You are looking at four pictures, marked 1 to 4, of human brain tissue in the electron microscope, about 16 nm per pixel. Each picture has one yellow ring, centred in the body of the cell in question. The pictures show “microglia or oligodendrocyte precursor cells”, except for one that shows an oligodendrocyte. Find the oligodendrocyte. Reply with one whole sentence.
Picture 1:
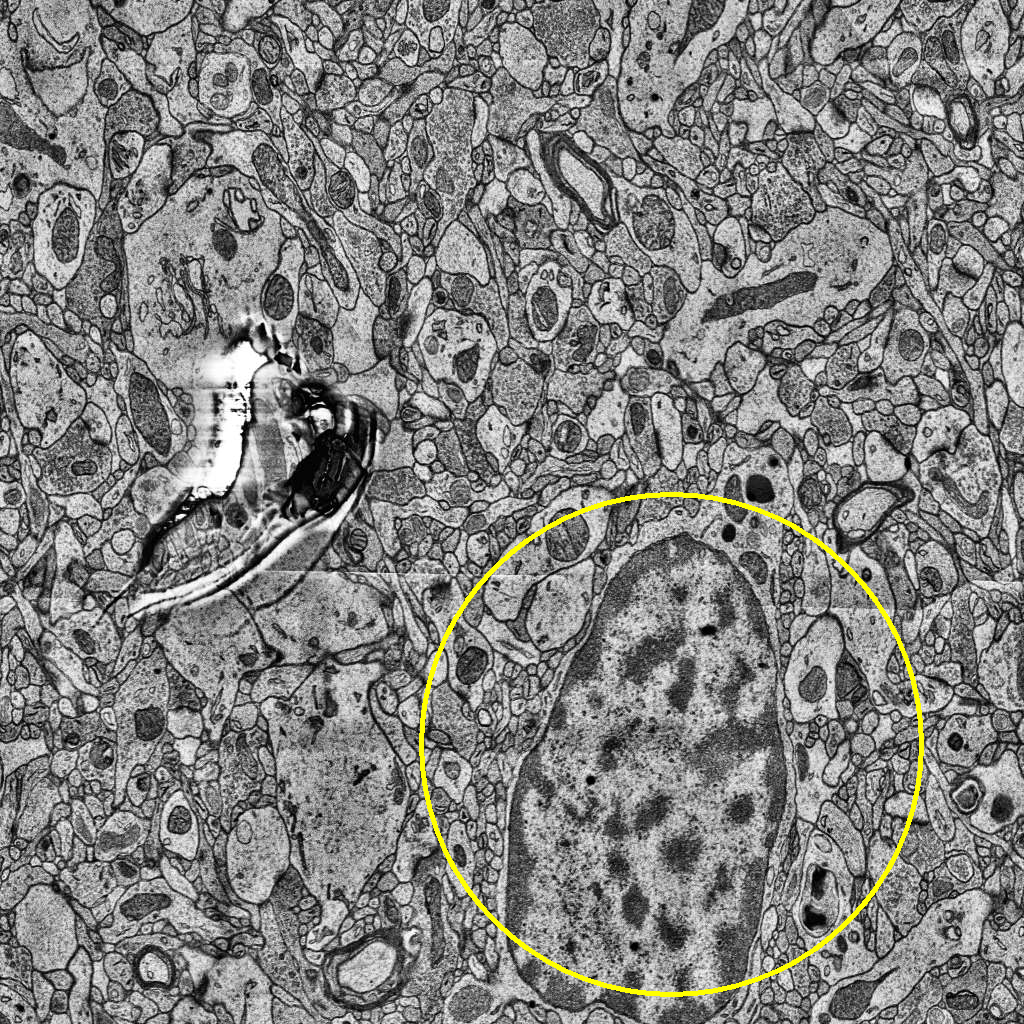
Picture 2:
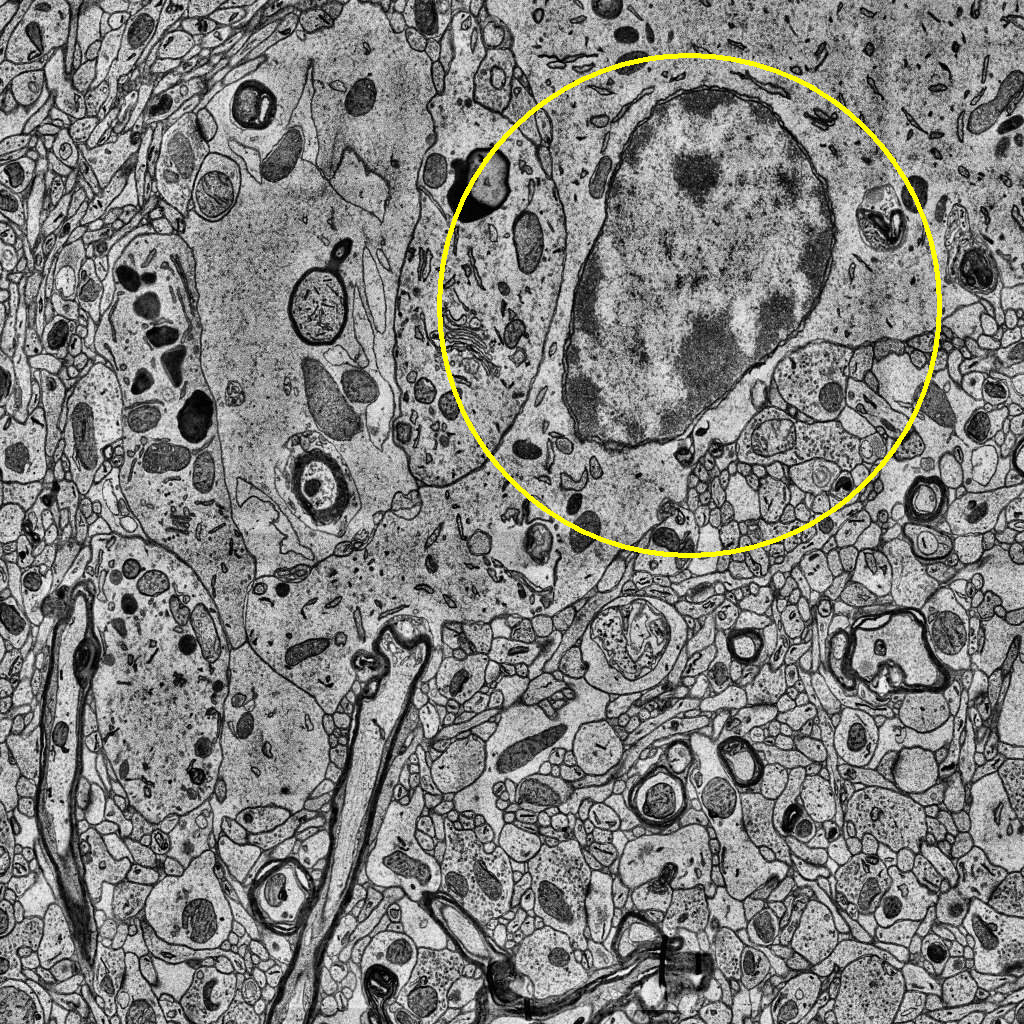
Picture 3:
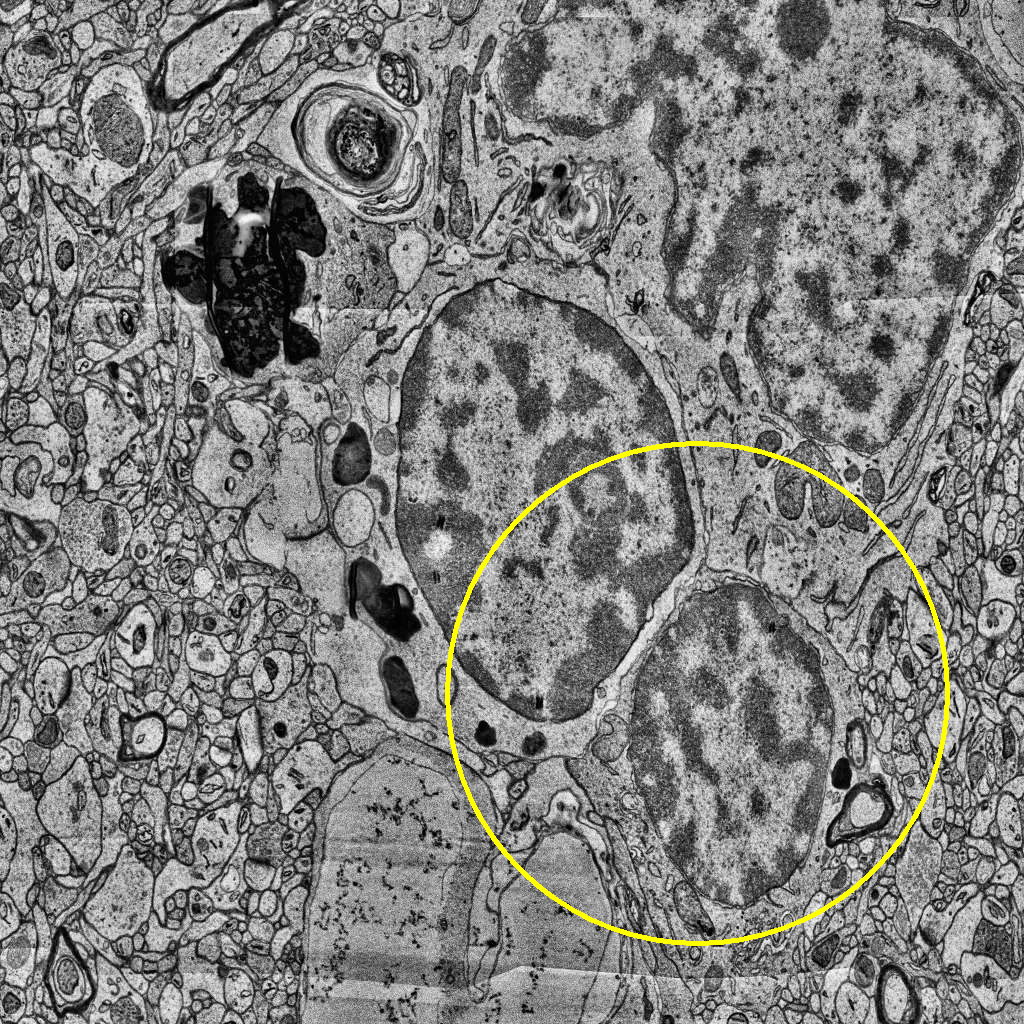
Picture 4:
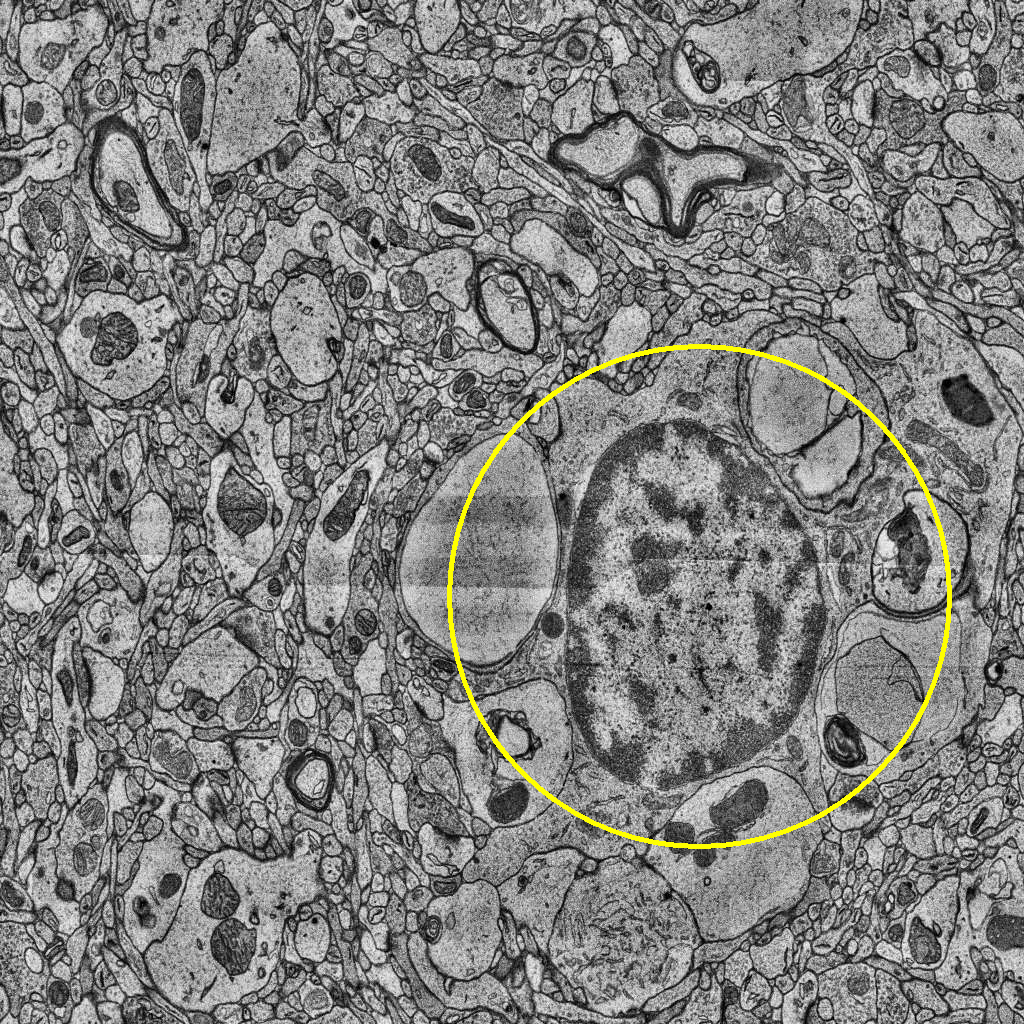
Picture 3 is the one that shows the oligodendrocyte.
